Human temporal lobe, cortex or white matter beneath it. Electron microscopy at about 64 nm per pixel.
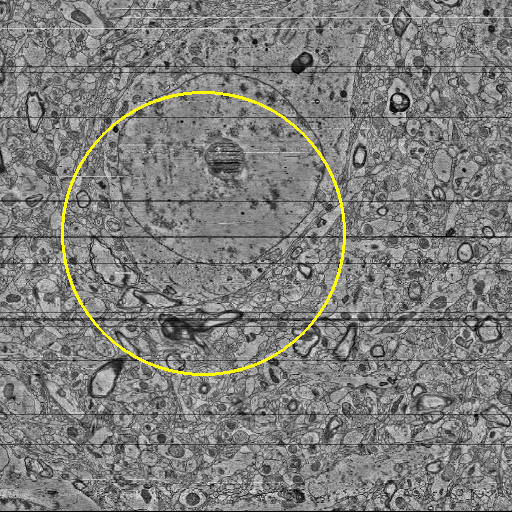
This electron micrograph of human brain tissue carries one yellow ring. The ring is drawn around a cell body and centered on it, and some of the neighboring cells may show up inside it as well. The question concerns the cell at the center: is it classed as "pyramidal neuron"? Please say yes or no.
Yes, it is classed that way.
